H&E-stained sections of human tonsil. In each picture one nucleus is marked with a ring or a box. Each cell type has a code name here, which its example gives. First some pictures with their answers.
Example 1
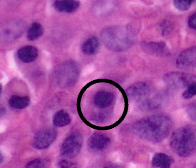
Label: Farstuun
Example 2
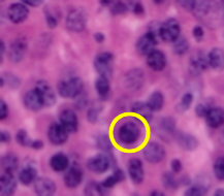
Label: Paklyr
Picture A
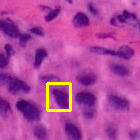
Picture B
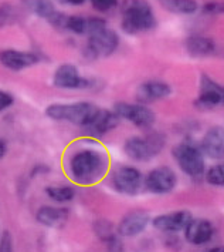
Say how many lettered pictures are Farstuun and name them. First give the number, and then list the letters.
Count: 1 (A)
